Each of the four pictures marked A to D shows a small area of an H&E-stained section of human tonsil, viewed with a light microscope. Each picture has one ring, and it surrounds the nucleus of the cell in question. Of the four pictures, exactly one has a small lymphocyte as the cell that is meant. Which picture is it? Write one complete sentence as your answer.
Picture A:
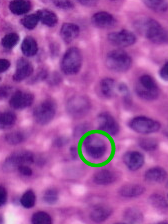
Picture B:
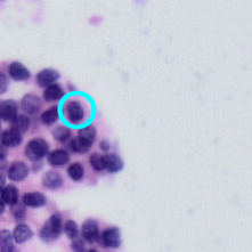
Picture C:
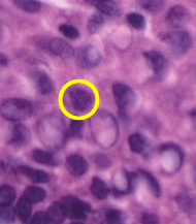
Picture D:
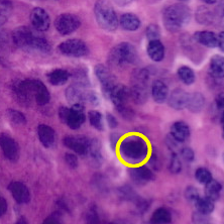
Picture B is the one that shows the small lymphocyte.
